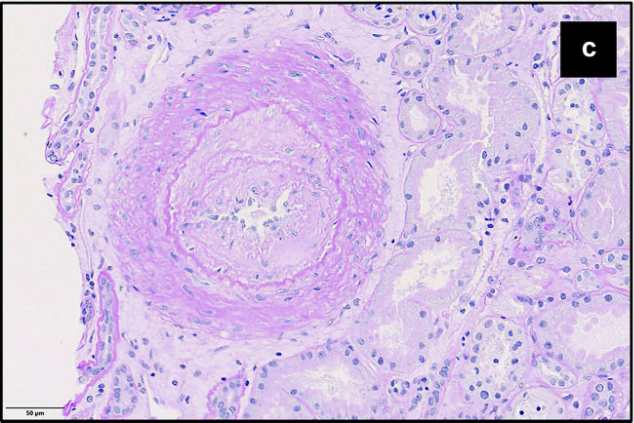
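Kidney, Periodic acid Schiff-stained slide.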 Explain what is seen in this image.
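A large arteriole in renal cortex is shown, its wall greatly thickened by concentric layers of pale pink matrix. The lumen is reduced to a small slit in the centre, so that the vessel is nearly completely occluded. Only sparse nuclei lie scattered within the layered matrix. Cross-sections of tubules with cuboidal epithelium surround the vessel.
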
